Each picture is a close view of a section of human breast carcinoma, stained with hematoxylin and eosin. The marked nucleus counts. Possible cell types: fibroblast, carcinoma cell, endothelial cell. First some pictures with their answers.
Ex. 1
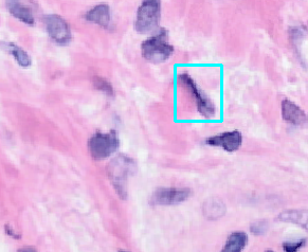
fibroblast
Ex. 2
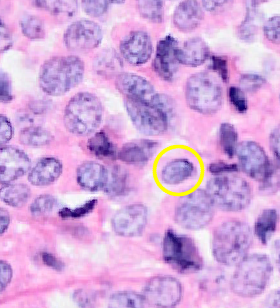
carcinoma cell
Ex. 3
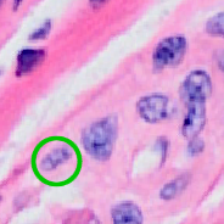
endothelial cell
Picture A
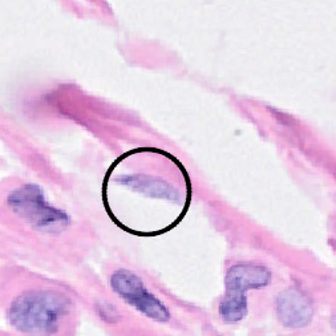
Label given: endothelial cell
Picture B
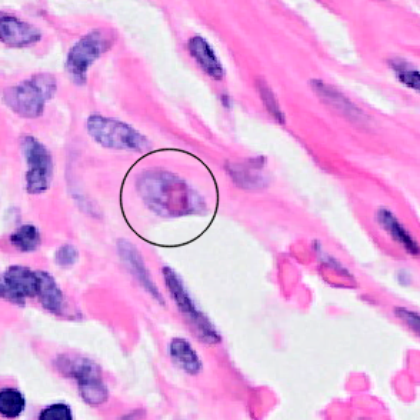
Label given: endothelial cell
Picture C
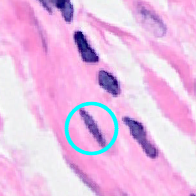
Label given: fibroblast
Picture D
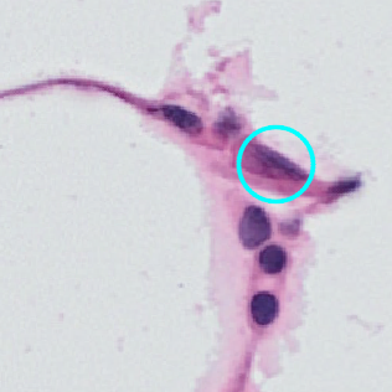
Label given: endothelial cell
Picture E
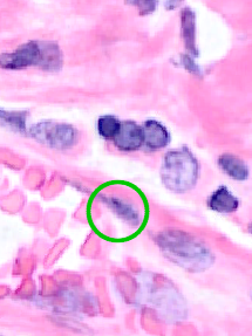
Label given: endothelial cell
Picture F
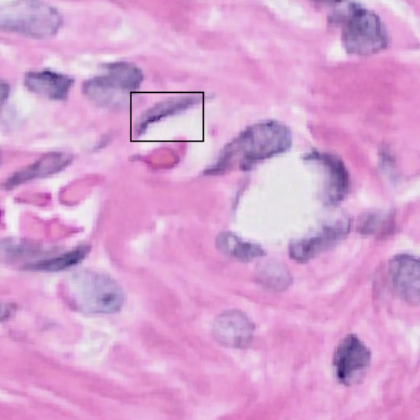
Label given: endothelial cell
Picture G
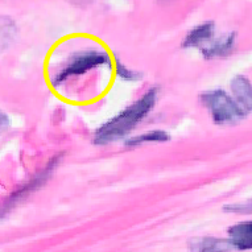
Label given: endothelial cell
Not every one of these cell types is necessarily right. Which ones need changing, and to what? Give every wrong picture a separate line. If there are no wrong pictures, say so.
A is labelled endothelial cell; correct label: fibroblast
